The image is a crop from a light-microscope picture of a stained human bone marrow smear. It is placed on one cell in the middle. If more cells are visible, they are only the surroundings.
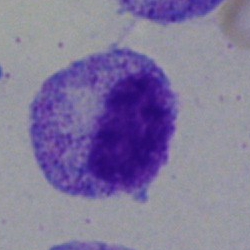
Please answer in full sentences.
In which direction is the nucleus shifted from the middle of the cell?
Toward the right of the cell lies its nucleus.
